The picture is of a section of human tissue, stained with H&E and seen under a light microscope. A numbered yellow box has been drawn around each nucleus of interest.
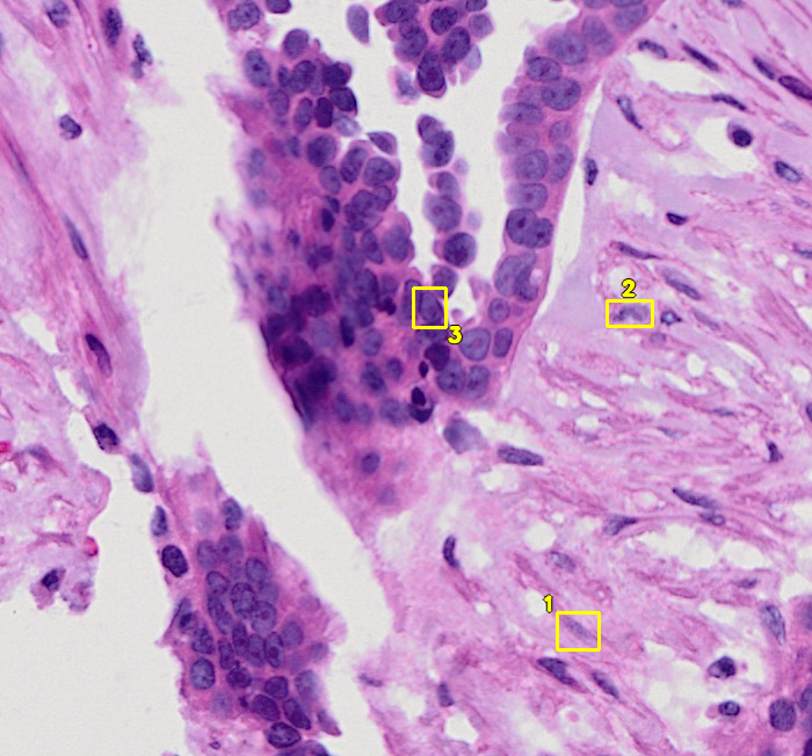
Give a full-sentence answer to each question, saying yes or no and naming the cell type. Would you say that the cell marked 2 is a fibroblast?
Yes, the cell labelled with number 2 is a fibroblast.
